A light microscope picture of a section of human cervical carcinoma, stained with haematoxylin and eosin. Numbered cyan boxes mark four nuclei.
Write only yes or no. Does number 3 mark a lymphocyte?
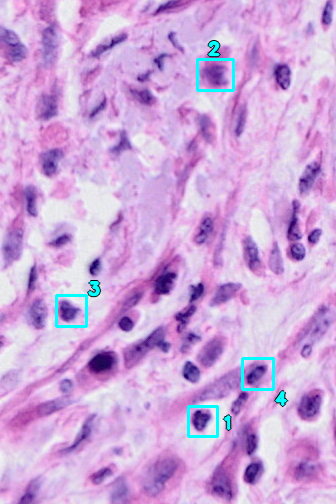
yes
